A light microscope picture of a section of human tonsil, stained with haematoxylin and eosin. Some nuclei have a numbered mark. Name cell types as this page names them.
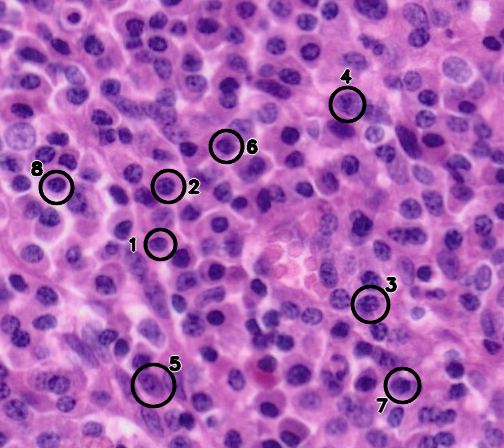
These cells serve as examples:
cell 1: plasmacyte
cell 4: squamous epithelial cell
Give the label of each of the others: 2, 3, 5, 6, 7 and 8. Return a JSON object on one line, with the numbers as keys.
{"2": "plasmacyte", "3": "plasmacyte", "5": "squamous epithelial cell", "6": "plasmacyte", "7": "squamous epithelial cell", "8": "plasmacyte"}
